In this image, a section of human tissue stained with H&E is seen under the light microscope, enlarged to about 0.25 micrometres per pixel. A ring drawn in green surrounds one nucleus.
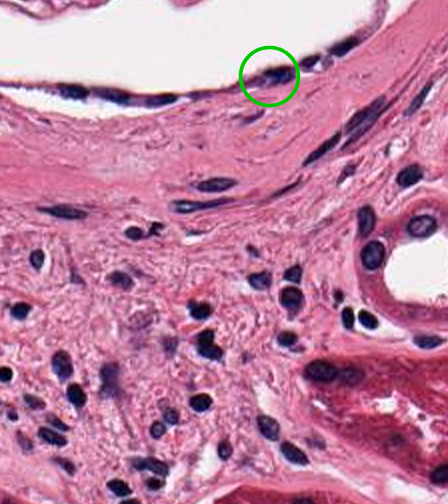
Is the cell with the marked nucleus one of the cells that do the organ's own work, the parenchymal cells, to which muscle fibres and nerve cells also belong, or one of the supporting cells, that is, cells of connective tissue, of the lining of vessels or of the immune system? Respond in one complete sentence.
It is a supporting cell to which the marked nucleus belongs.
